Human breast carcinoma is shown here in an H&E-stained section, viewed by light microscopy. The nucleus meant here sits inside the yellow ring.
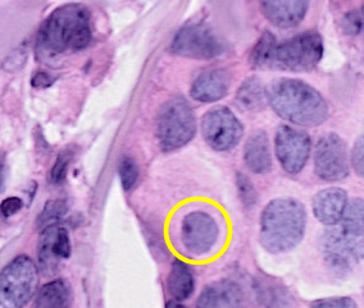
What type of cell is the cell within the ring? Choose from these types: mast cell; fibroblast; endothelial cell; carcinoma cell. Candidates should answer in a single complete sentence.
Microscopically, the cell within the ring is categorized as a carcinoma cell.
